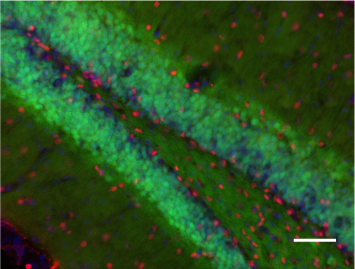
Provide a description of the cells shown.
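A curved band of densely packed cells of the dentate gyrus, green and blue, forms two limbs enclosing a darker central region. Small red nuclei are scattered in and around the band: many lie in a row along the inner edge of the densely packed layer, facing the central region, while others are dispersed singly in the surrounding less cellular tissue on both sides. The red nuclei are small and round to oval, and the dense layer itself is largely free of them apart from its inner border.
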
